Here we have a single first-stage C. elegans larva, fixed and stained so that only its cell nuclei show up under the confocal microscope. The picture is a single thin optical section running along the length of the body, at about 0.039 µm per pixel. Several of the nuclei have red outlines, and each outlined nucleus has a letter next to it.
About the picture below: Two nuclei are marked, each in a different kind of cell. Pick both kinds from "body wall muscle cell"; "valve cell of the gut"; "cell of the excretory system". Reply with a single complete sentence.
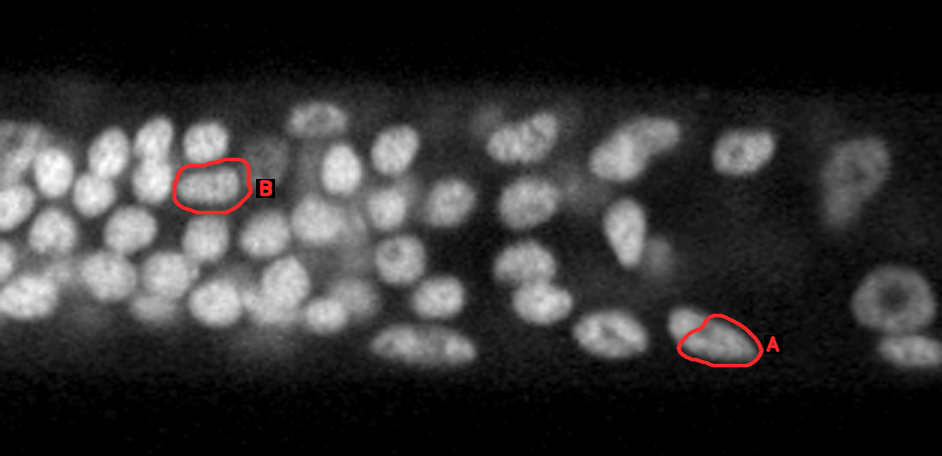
A is in a body wall muscle cell and B is in a cell of the excretory system.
